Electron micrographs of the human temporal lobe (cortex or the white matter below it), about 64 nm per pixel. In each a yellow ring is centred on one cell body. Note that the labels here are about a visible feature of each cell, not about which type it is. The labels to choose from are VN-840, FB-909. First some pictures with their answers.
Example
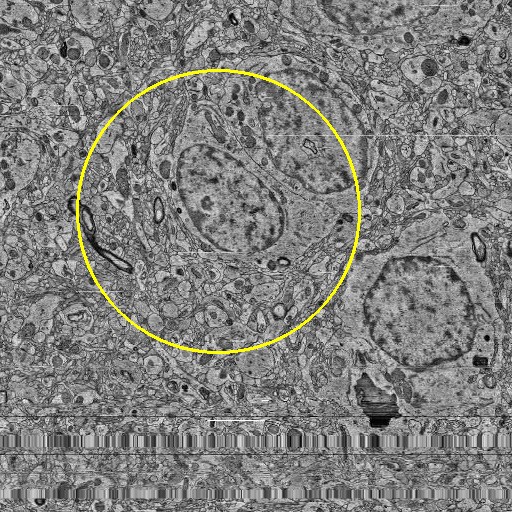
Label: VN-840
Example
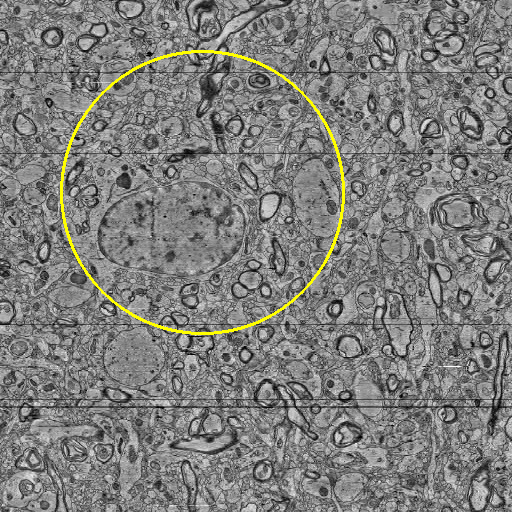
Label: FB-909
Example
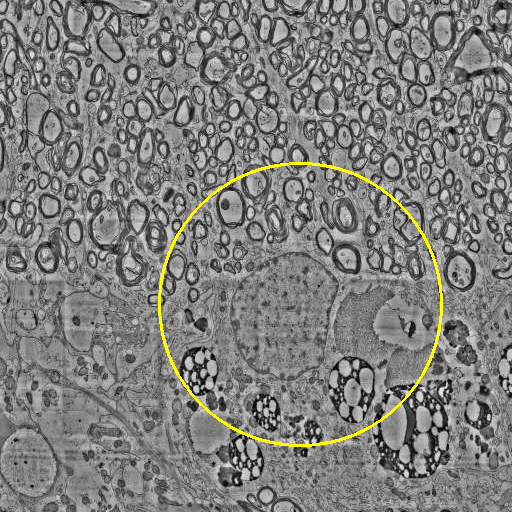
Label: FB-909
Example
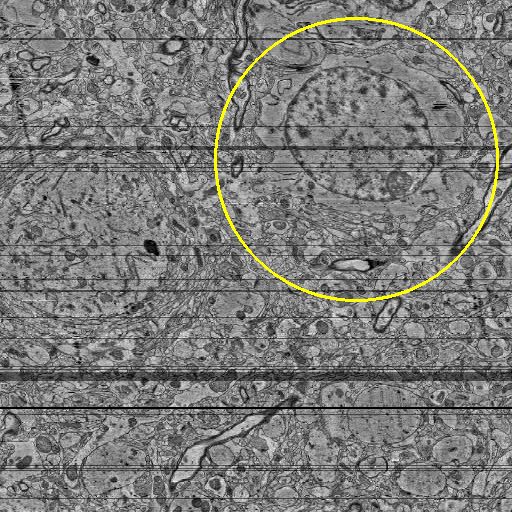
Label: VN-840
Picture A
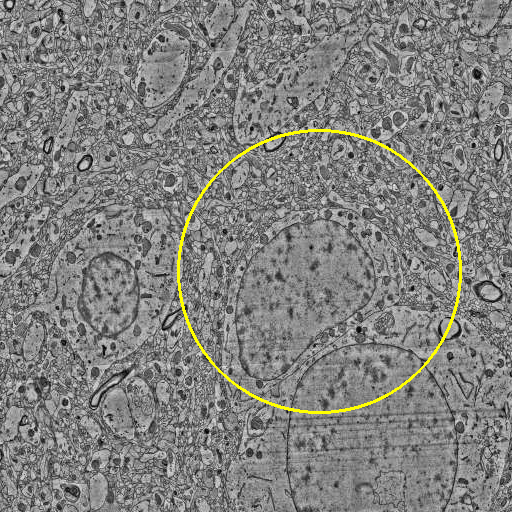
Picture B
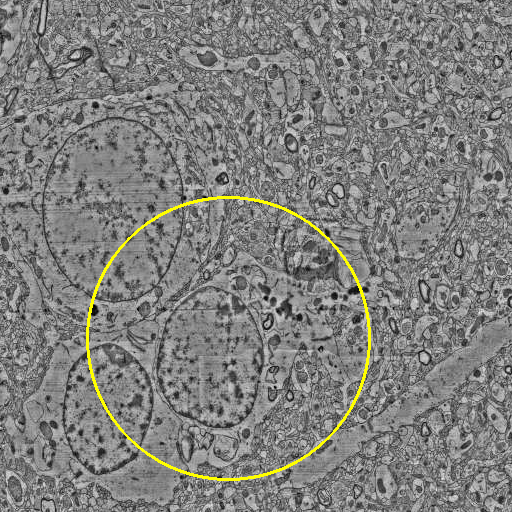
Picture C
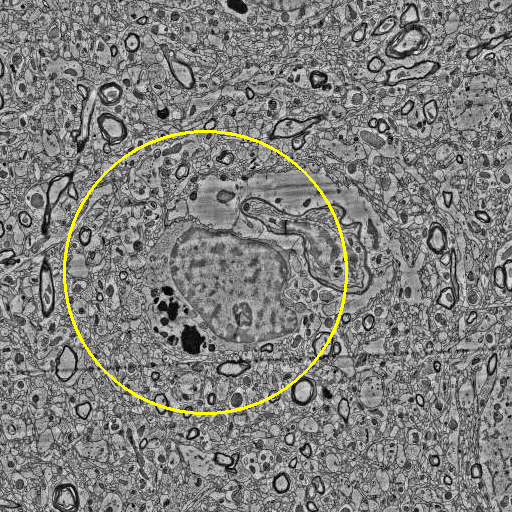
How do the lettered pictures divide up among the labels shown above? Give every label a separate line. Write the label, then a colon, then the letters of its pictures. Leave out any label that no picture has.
VN-840: C
FB-909: A, B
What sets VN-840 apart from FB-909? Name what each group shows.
In VN-840: nucleolus seen. In FB-909: no nucleolus seen.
